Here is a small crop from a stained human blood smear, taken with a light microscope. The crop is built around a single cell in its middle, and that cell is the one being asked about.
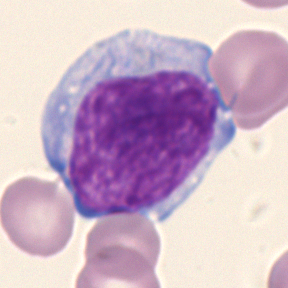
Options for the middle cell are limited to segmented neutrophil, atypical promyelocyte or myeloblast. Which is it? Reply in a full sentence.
The cell sitting right in the middle is a myeloblast.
